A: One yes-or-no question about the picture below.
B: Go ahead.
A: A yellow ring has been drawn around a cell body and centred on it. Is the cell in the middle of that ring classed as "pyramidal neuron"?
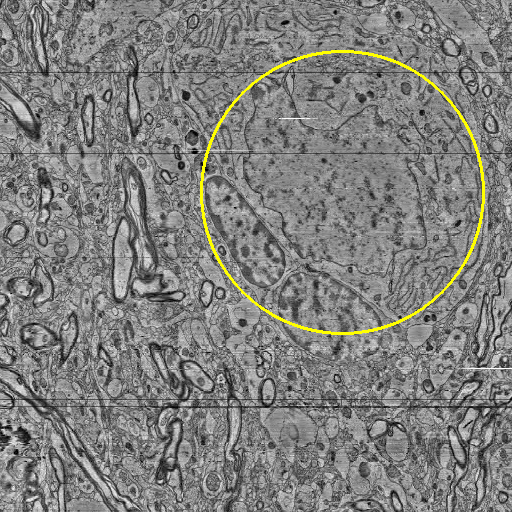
No, it is classed as another kind.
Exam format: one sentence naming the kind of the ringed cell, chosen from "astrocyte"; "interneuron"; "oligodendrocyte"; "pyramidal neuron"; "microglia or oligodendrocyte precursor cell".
Instead, what sits at the centre of the ring is an interneuron.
